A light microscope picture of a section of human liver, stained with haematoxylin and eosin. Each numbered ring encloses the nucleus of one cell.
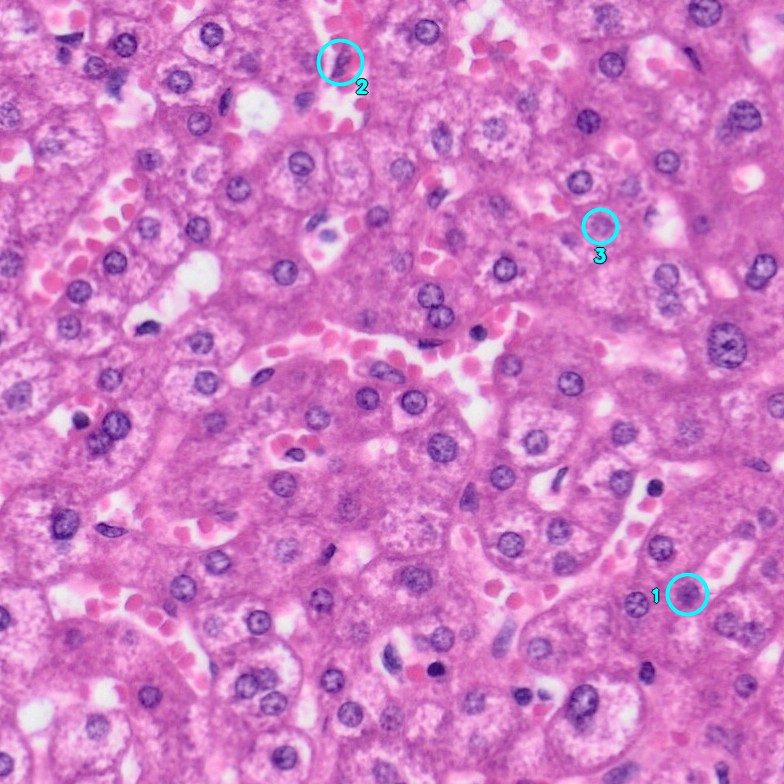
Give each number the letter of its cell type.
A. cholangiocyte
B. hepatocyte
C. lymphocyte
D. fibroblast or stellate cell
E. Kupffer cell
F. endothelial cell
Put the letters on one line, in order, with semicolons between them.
F; E; B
